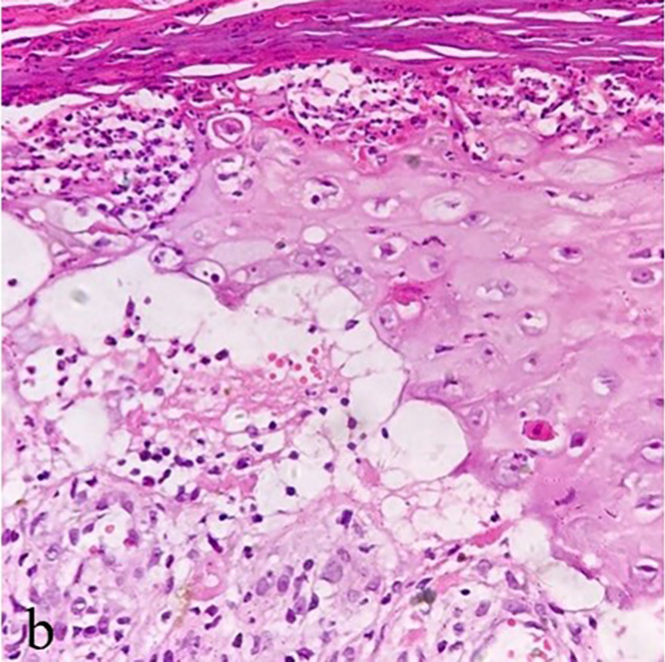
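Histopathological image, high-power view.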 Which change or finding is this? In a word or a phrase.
Parakeratosis.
